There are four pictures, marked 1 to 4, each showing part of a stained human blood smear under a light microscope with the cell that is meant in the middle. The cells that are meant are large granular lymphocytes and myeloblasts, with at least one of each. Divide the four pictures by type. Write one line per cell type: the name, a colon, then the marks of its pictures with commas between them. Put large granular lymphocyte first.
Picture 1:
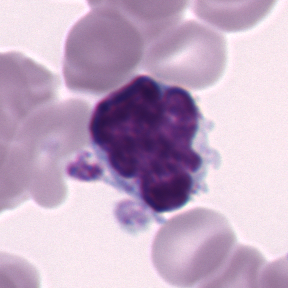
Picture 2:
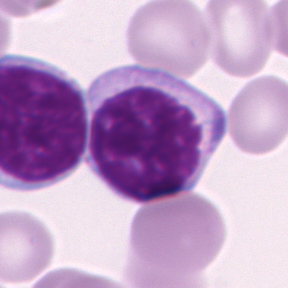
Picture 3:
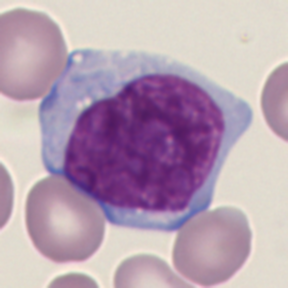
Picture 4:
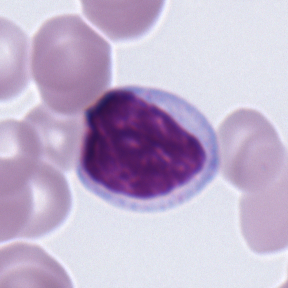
large granular lymphocyte: 1, 2, 4
myeloblast: 3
